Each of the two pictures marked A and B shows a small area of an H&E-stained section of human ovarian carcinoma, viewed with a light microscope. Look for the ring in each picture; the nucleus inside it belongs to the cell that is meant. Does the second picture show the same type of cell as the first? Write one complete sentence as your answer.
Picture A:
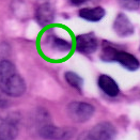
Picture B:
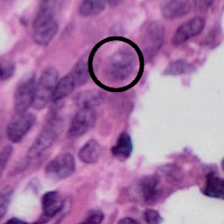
Yes, the two pictures both show carcinoma cells.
